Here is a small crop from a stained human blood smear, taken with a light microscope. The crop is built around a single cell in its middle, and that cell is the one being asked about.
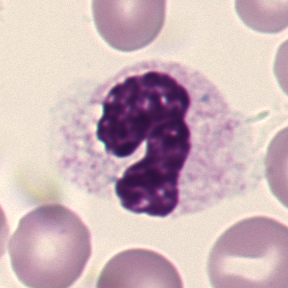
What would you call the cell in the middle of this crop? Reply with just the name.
segmented neutrophil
